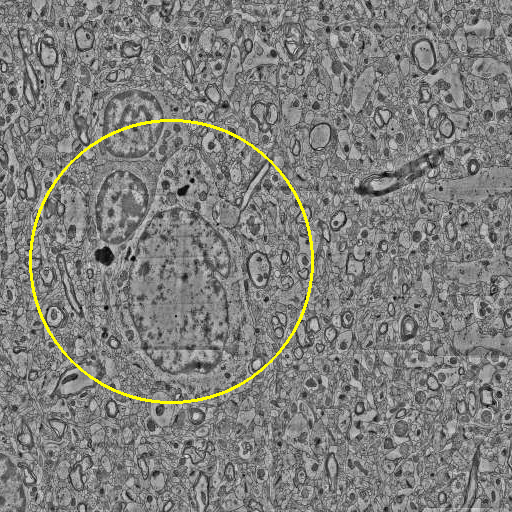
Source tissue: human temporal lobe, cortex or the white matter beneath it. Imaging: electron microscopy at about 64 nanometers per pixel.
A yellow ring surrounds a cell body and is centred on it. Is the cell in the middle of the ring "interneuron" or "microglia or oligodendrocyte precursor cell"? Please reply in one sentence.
The ring is centred on an interneuron.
